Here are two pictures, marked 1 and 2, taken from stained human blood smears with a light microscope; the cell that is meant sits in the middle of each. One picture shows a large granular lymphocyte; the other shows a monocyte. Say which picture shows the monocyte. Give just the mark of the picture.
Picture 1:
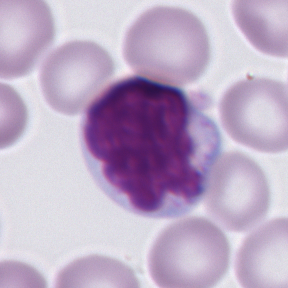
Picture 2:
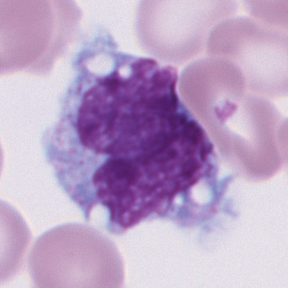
2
